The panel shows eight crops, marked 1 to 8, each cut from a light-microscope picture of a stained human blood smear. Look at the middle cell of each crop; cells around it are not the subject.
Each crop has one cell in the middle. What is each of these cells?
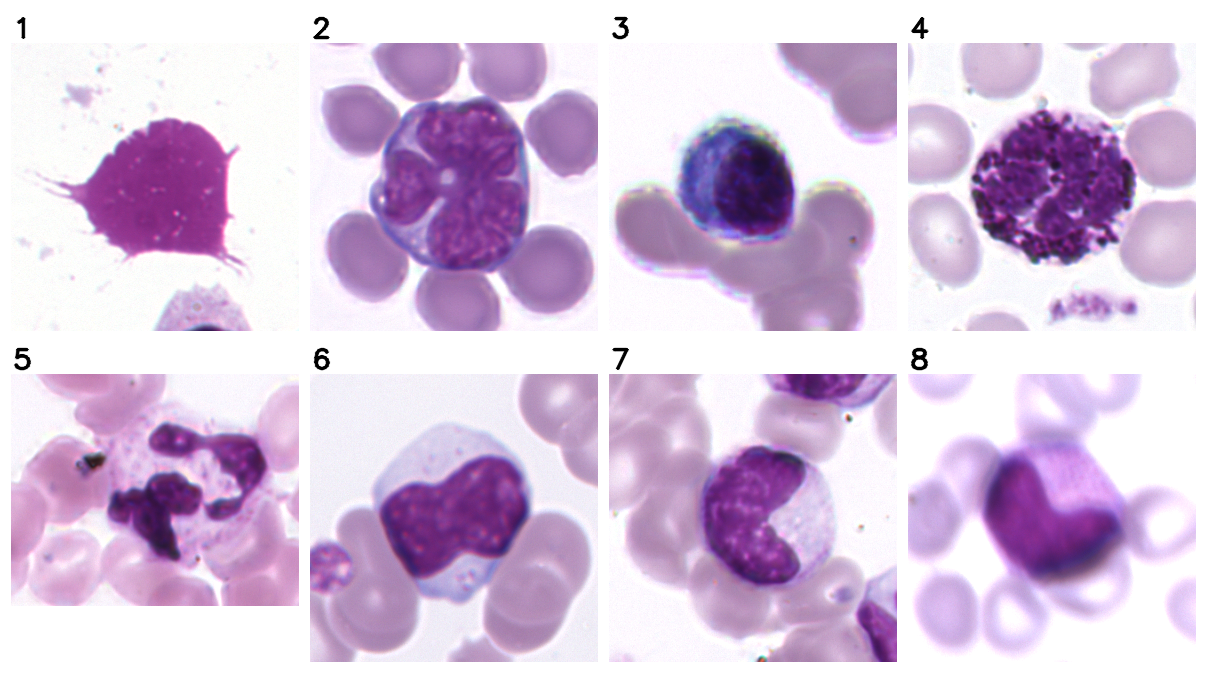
1: smudge cell
2: monocyte
3: plasma cell
4: basophil
5: segmented neutrophil
6: large granular lymphocyte
7: metamyelocyte
8: band neutrophil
